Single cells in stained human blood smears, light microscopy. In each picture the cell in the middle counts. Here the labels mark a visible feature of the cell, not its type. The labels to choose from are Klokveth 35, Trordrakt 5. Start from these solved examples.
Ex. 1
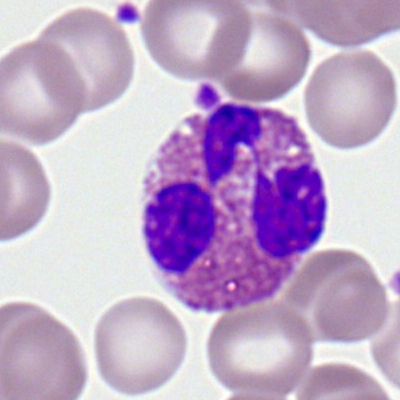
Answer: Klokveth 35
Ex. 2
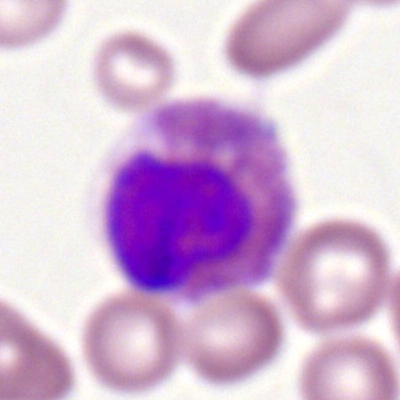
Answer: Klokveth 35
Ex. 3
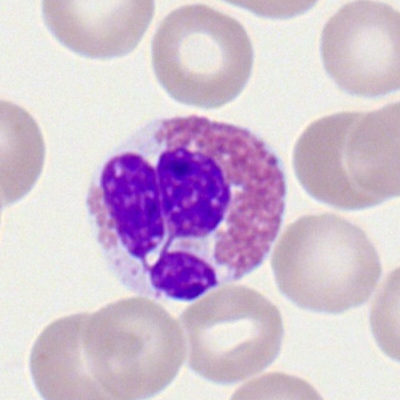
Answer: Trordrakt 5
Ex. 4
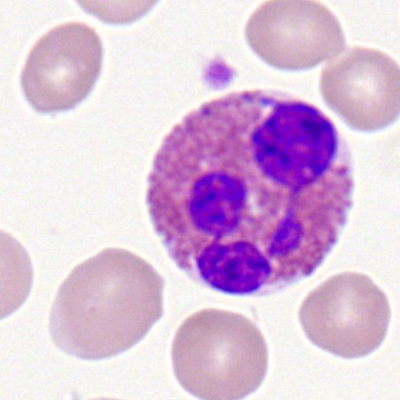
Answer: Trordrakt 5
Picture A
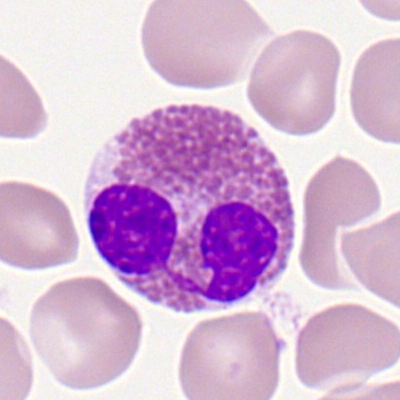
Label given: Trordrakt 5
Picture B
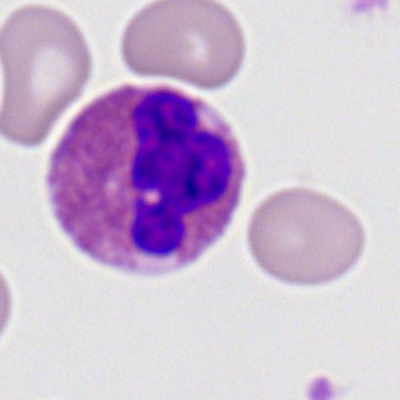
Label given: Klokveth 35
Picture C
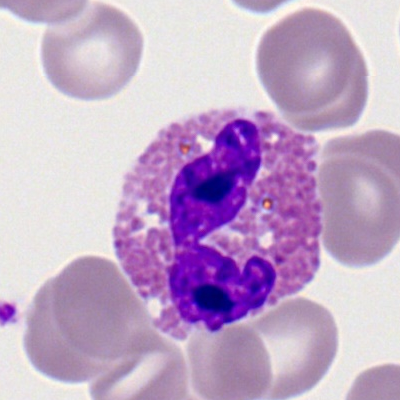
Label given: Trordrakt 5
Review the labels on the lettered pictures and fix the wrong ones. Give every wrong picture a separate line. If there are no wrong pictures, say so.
None of the labels needs changing.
